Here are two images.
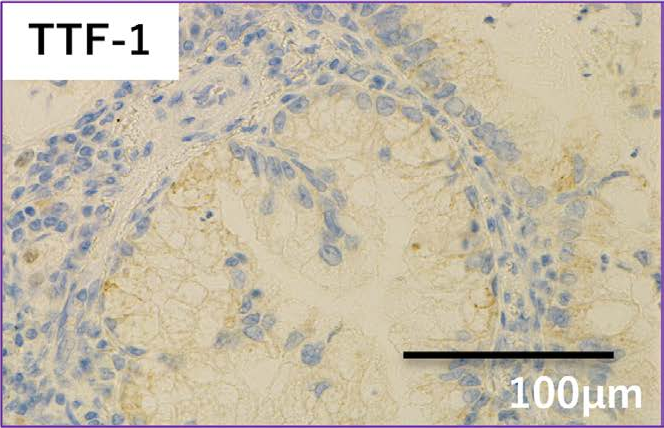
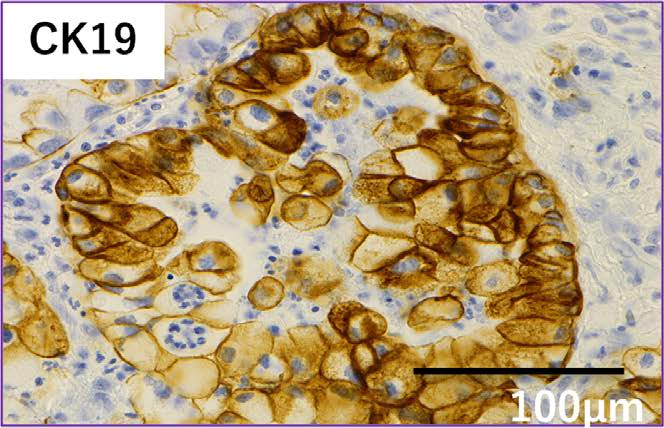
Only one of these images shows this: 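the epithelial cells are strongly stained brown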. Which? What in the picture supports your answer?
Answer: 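Second image: the epithelial cells lining the gland are strongly brown along membranes and cytoplasm. On this evidence: the second image.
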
